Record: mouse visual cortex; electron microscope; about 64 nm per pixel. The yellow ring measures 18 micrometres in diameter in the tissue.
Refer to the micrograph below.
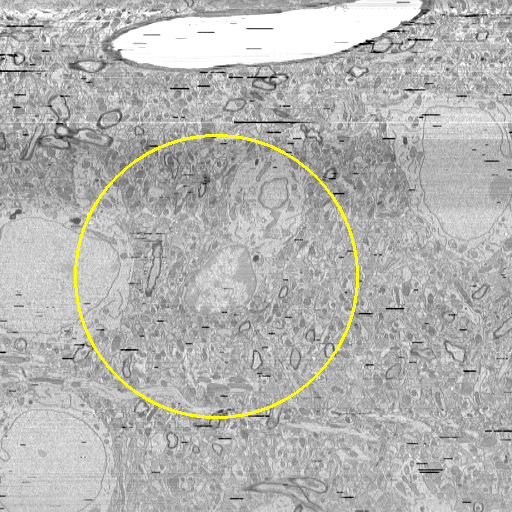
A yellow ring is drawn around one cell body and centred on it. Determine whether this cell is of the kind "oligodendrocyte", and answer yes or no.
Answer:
yes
